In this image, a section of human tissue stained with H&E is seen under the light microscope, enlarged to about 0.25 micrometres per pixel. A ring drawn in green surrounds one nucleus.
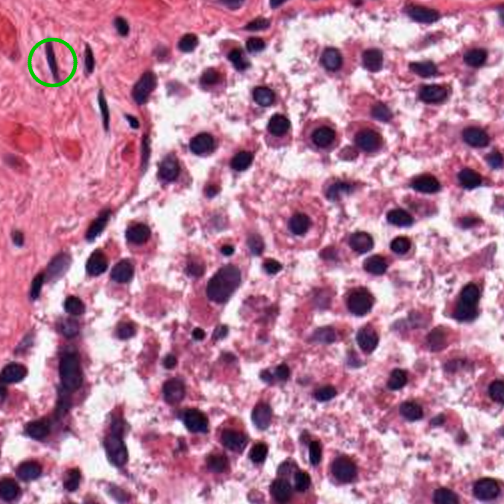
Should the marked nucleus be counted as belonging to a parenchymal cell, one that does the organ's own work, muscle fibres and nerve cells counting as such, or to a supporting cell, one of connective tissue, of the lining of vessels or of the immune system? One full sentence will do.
A supporting cell is the cell whose nucleus is marked.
